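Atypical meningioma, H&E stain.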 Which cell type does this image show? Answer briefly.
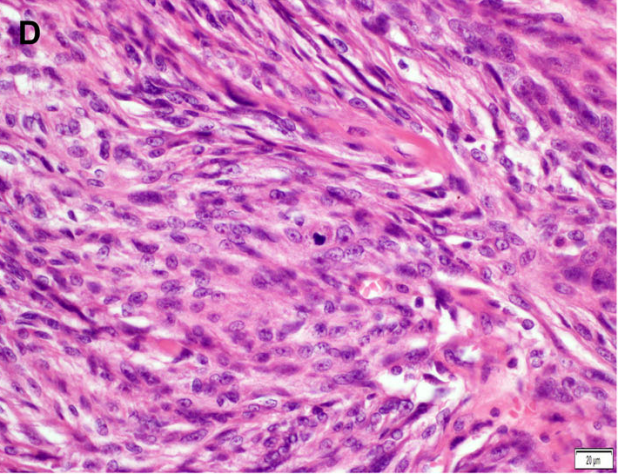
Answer: spindle cells with prominent nucleoli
